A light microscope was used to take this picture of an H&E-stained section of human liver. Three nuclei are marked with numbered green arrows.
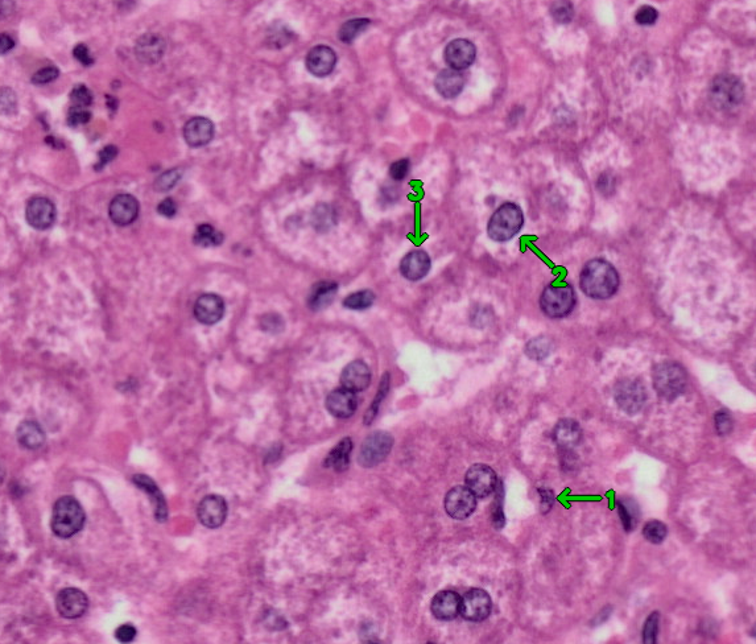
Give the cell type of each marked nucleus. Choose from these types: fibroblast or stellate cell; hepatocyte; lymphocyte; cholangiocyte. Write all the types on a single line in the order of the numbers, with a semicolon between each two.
fibroblast or stellate cell; hepatocyte; hepatocyte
